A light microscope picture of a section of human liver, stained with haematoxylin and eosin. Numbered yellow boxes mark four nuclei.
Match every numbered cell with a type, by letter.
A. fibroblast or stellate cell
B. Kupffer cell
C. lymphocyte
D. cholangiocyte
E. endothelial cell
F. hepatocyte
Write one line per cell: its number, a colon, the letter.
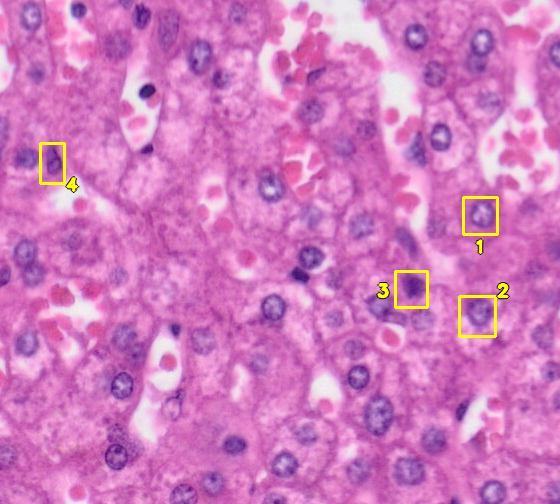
1: F
2: F
3: A
4: B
